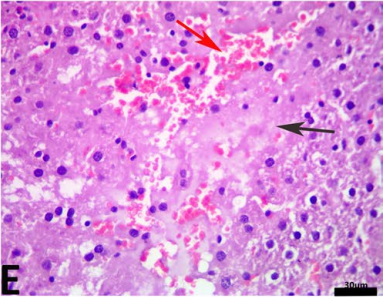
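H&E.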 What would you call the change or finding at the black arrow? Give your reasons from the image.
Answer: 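Coagulative necrosis of hepatocytes. The area at the black arrow is pale, homogeneous eosinophilic with loss of nuclei. Cell outlines are faint and blurred there.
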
